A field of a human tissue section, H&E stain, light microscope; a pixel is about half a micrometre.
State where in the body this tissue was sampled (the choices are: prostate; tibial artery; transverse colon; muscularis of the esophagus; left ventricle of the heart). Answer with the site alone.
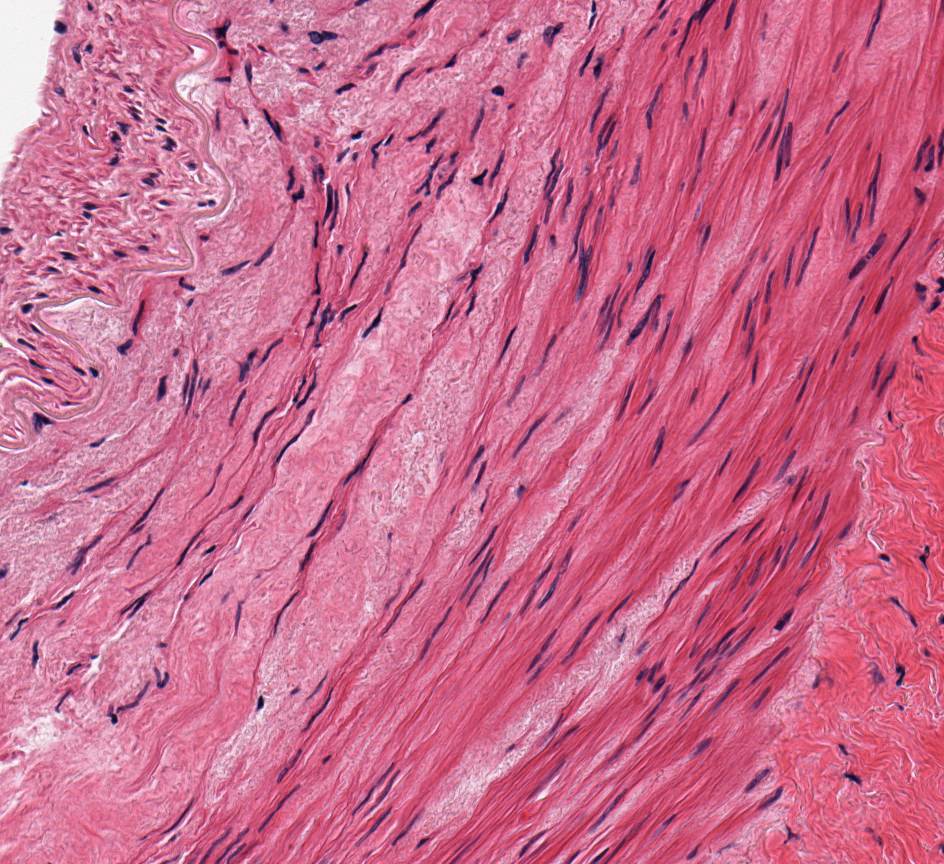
tibial artery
